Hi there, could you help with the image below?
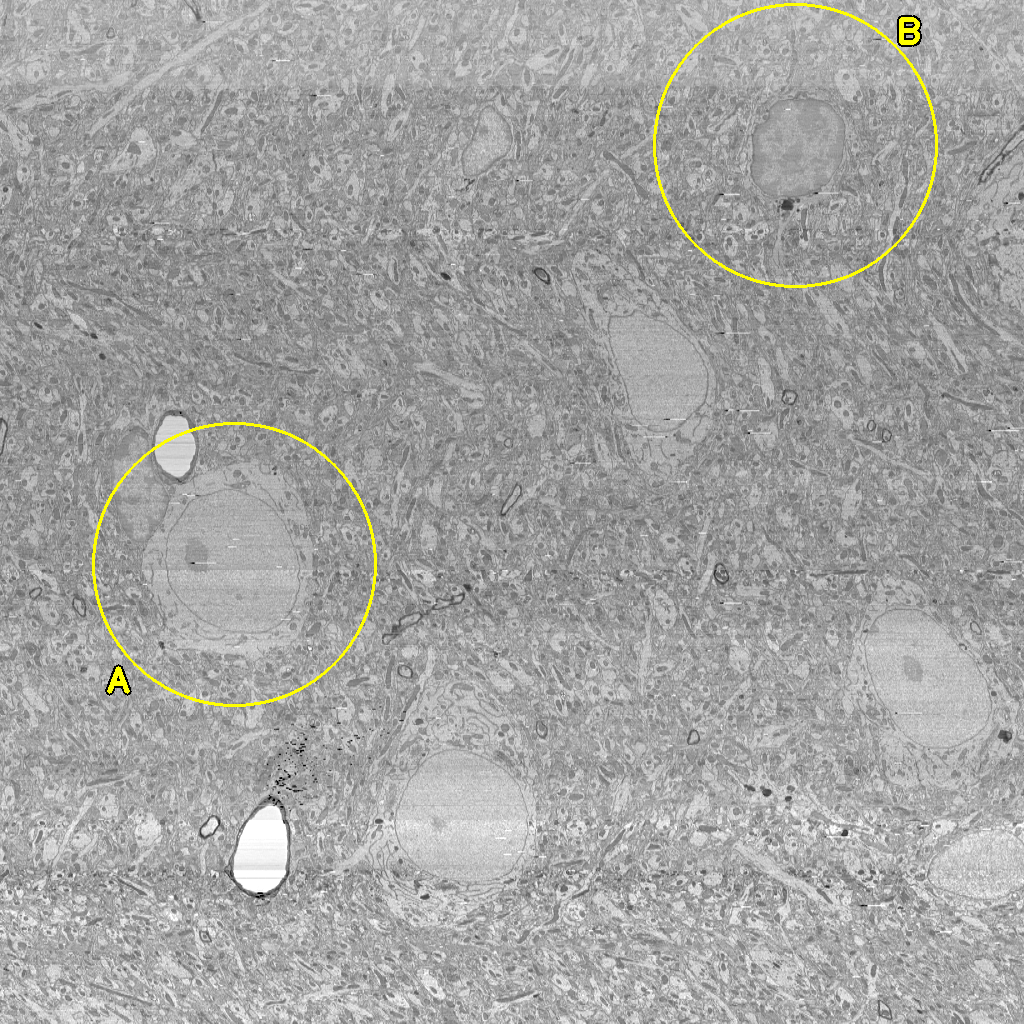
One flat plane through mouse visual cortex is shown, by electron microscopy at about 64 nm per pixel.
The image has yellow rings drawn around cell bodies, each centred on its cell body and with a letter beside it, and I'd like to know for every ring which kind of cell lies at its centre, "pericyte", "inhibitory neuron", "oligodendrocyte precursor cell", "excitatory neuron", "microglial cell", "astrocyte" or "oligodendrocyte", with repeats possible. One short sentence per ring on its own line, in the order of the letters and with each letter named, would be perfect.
Ring A is placed around an excitatory neuron.
Ring B is placed around a microglial cell.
